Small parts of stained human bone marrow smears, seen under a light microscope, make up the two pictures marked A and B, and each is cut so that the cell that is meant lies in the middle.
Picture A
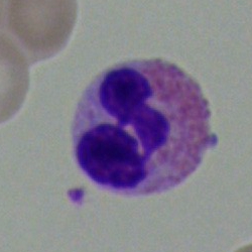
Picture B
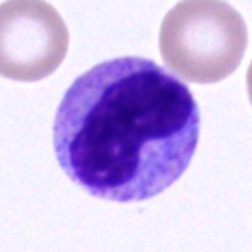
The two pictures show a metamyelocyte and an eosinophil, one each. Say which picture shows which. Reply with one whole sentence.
Picture B shows a metamyelocyte, while picture A shows an eosinophil.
